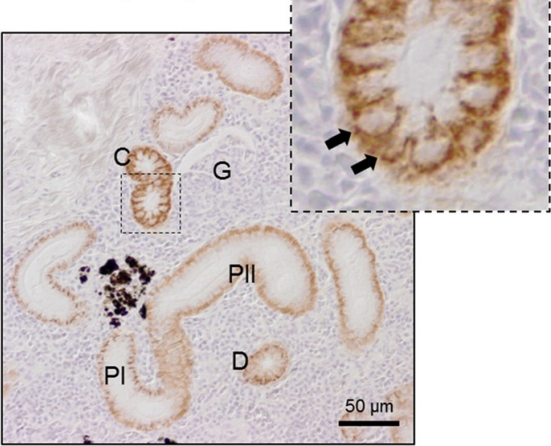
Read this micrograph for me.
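This section of fish kidney shows renal tubules cut across and lengthwise, each lined by a single layer of tall epithelial cells around a pale lumen, set in interstitial tissue crowded with small blue-nucleated cells. Brown stain fills the tubule epithelium, densest toward the basal side of the cells; the enlarged view shows a collecting tubule with the brown stain heaped along the bases of the cells and paler cell tops facing the lumen. A cluster of black pigment lies between the tubules.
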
